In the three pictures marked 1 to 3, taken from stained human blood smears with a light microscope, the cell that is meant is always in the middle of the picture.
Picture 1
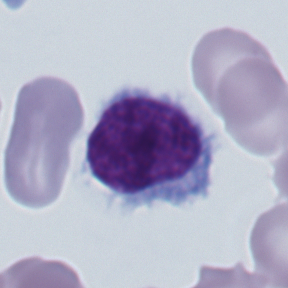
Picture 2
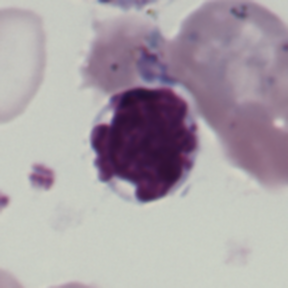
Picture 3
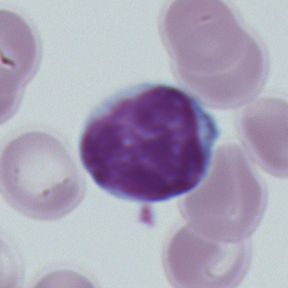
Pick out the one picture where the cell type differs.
1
